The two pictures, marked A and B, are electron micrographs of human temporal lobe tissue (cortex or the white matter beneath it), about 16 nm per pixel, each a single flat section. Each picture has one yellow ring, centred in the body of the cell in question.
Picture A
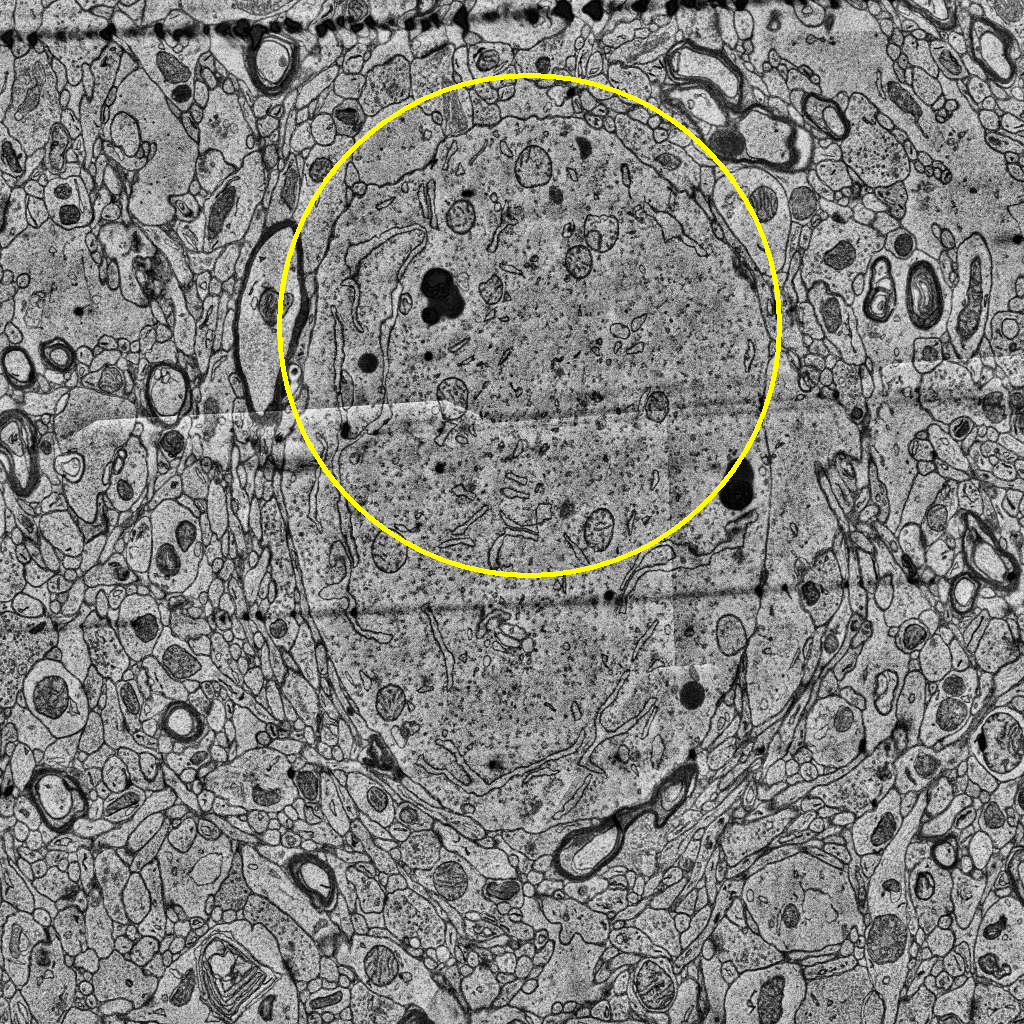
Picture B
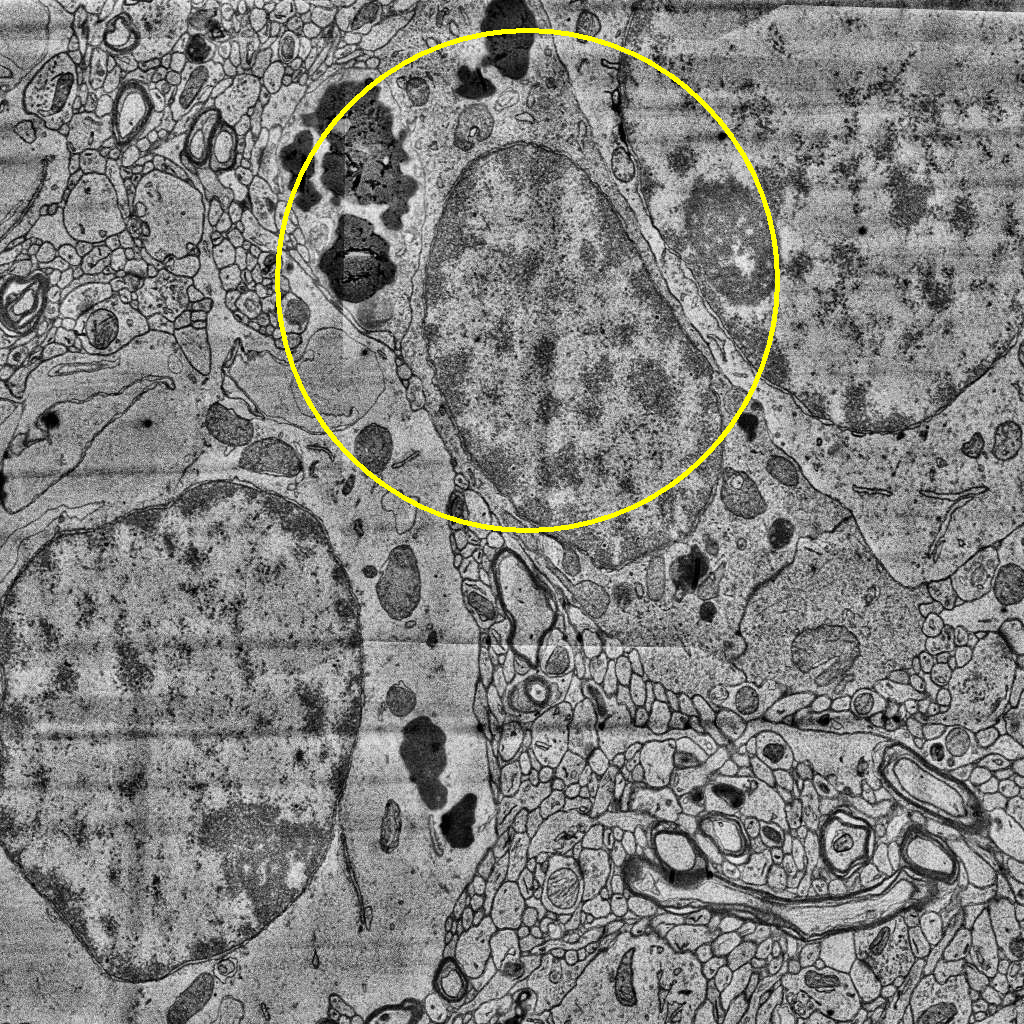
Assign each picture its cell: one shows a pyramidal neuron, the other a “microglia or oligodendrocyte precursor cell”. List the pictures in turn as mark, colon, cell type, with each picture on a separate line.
A: pyramidal neuron
B: microglia or oligodendrocyte precursor cell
